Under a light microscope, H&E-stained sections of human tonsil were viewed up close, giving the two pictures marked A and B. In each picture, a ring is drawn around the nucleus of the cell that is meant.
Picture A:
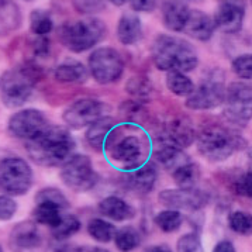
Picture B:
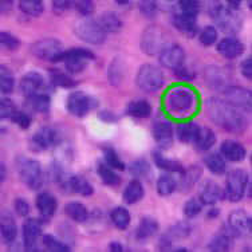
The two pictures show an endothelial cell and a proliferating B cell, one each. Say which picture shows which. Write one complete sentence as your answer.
In picture A the cell is a proliferating B cell; in picture B, an endothelial cell.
